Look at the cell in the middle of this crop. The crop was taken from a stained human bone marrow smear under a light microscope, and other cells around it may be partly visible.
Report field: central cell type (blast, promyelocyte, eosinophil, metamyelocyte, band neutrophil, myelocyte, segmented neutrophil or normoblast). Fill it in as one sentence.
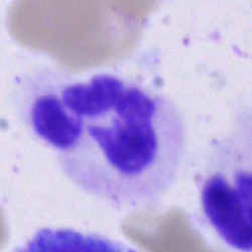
The middle of this crop holds a segmented neutrophil.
